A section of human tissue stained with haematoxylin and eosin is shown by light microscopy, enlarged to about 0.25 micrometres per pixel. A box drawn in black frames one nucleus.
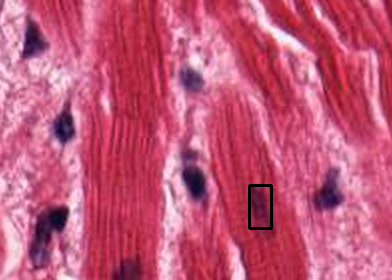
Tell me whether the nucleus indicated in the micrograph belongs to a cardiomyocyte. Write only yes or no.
yes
